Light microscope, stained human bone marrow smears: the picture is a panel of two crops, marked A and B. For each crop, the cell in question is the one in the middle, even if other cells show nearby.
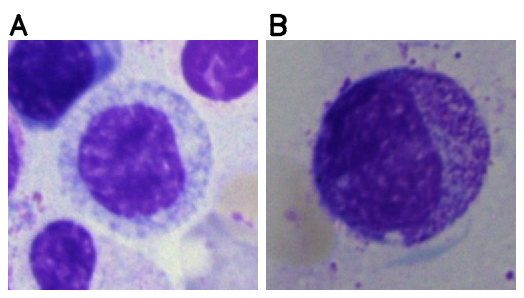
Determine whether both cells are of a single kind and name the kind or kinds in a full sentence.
Yes, the two crops show myelocytes, both of them.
